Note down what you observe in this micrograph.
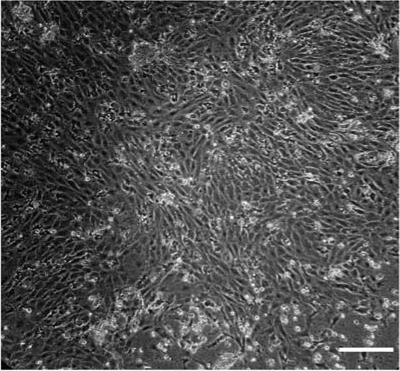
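Many cells are elongated and spindle-shaped, and they lie side by side in swirling streams across the field. Scattered among the sheet are small bright, rounded cells and little clumps that sit on top of the monolayer.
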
